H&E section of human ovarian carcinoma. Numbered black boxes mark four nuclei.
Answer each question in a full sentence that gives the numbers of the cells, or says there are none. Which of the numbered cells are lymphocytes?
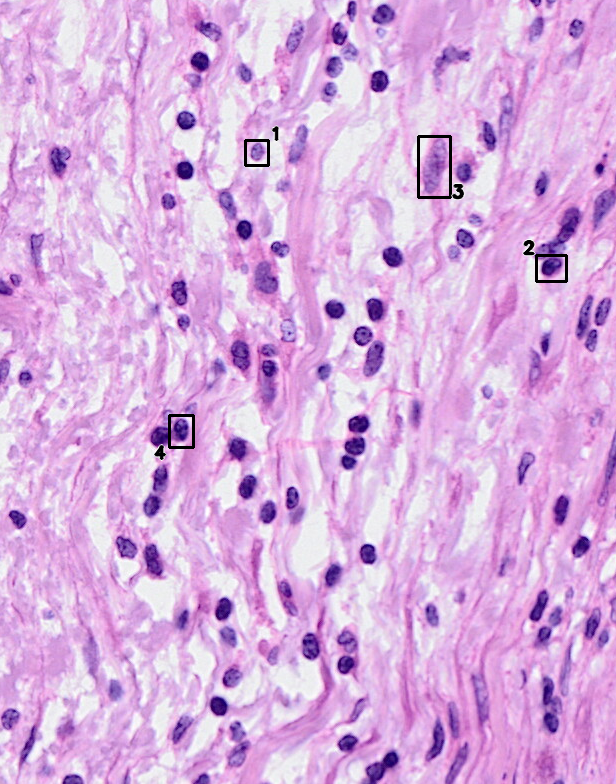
The cells with the numbers 1, 2 and 4 are lymphocytes.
